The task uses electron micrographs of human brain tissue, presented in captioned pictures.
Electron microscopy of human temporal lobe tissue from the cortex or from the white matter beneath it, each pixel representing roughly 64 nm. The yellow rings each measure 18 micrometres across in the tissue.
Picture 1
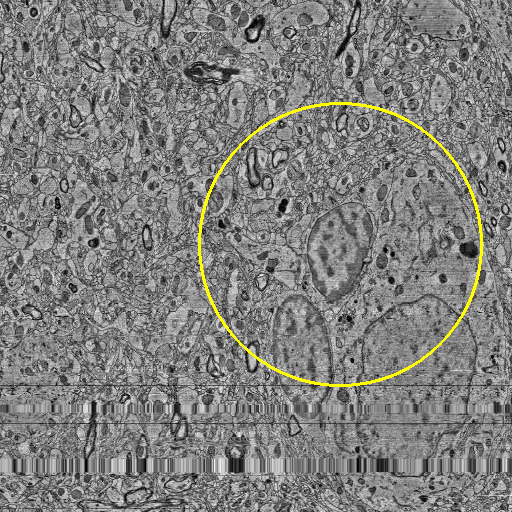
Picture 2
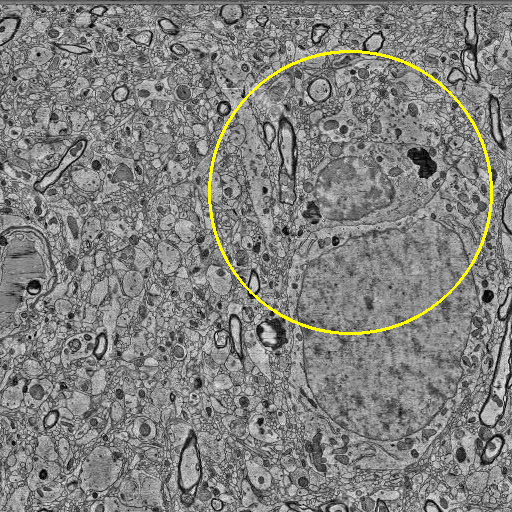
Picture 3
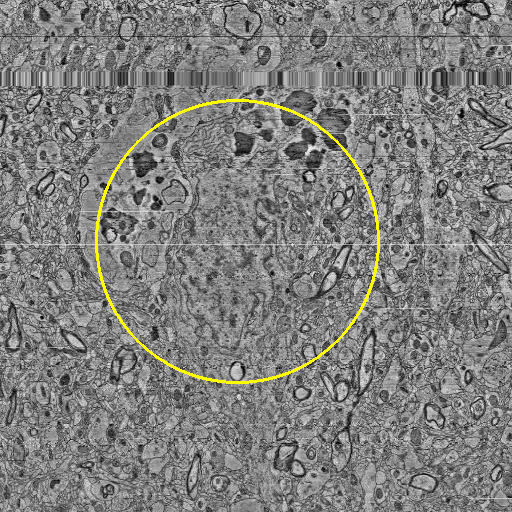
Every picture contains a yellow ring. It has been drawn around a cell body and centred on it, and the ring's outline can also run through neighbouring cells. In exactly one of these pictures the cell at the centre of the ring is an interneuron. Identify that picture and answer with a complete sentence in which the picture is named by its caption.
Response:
The ring in Picture 3 is centred on that kind of cell.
